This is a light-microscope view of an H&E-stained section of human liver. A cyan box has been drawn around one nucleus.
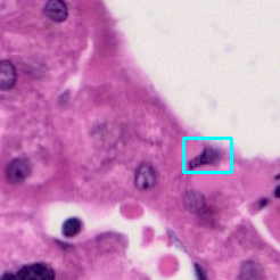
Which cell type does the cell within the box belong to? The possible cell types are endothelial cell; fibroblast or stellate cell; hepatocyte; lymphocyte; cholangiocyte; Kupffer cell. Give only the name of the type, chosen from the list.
fibroblast or stellate cell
